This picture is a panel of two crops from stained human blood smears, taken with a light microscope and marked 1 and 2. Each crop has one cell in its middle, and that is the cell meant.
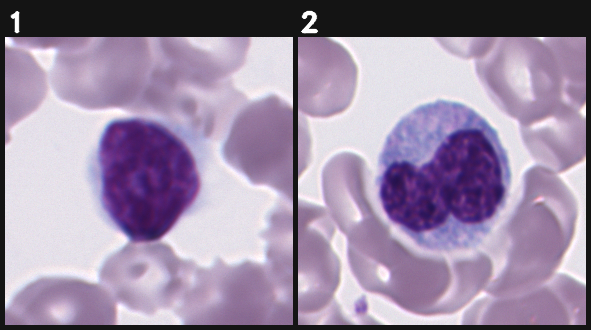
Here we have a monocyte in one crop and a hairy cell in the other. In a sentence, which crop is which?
Crop 1 is a hairy cell and crop 2 is a monocyte.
